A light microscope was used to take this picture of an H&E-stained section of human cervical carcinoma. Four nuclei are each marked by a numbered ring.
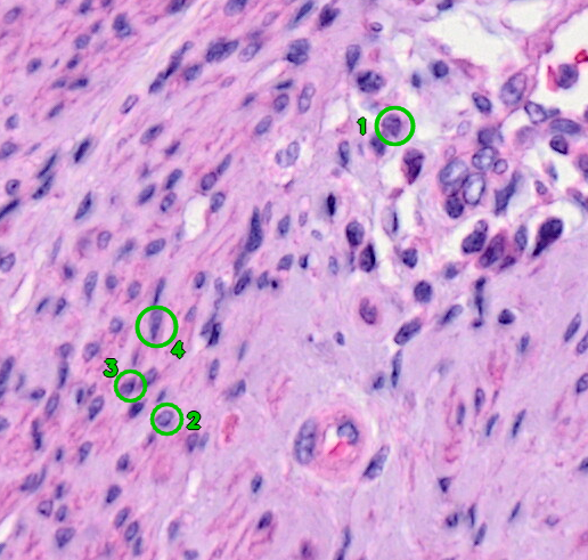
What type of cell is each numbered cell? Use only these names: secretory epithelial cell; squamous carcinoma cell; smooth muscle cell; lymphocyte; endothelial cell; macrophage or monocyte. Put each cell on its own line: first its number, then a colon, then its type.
1: macrophage or monocyte
2: smooth muscle cell
3: smooth muscle cell
4: smooth muscle cell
